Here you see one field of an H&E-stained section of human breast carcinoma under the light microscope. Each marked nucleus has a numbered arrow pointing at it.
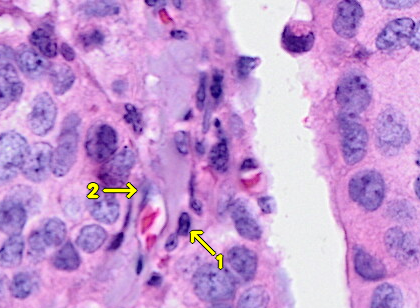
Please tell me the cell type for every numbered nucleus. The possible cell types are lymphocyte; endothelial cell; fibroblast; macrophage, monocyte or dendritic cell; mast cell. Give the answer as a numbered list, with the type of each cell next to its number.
1. lymphocyte
2. endothelial cell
